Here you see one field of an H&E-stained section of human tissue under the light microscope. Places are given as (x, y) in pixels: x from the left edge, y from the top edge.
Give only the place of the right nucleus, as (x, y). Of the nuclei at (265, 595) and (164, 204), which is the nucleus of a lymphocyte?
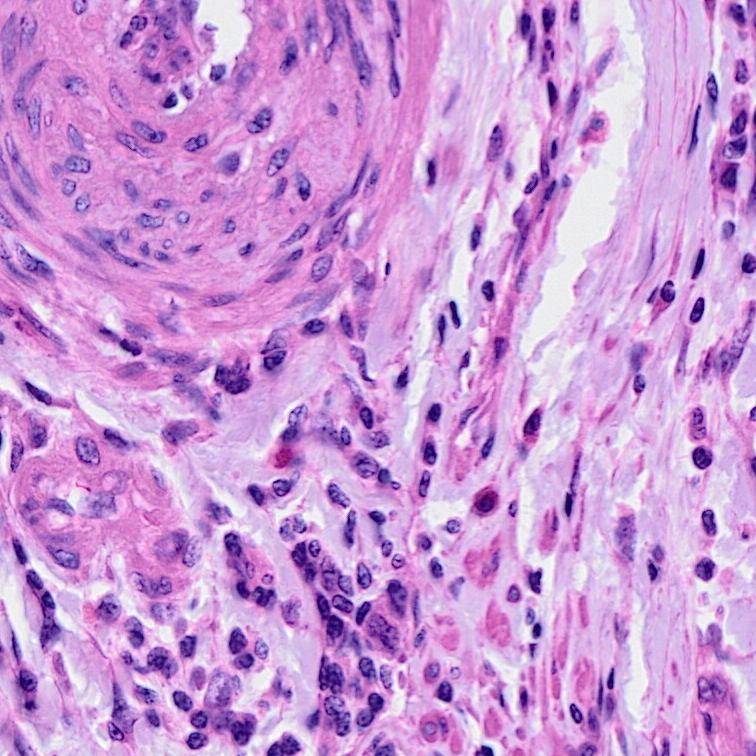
(265, 595)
